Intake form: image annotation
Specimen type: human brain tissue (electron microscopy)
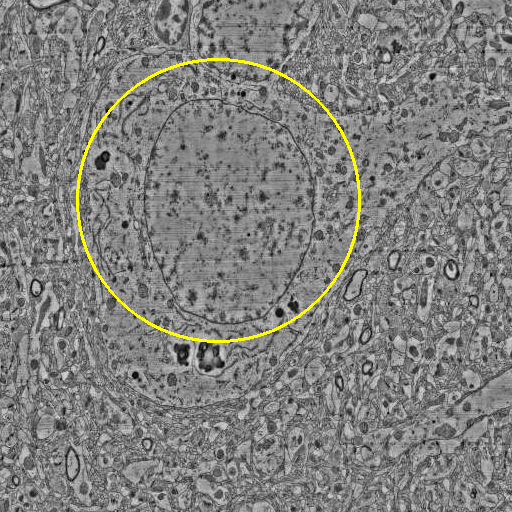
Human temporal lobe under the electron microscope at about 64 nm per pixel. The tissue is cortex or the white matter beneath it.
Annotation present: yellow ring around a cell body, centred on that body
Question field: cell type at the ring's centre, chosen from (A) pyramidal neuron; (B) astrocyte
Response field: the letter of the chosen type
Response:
A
